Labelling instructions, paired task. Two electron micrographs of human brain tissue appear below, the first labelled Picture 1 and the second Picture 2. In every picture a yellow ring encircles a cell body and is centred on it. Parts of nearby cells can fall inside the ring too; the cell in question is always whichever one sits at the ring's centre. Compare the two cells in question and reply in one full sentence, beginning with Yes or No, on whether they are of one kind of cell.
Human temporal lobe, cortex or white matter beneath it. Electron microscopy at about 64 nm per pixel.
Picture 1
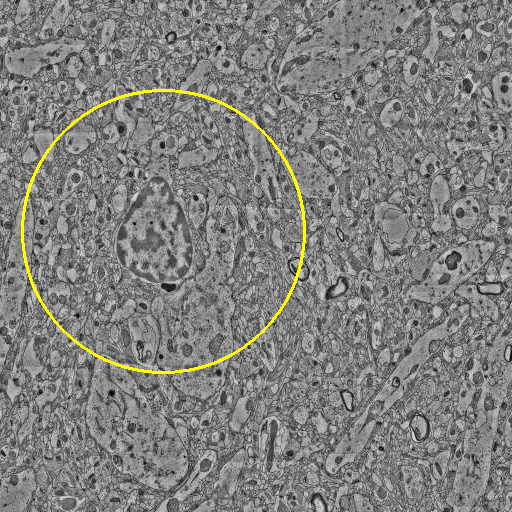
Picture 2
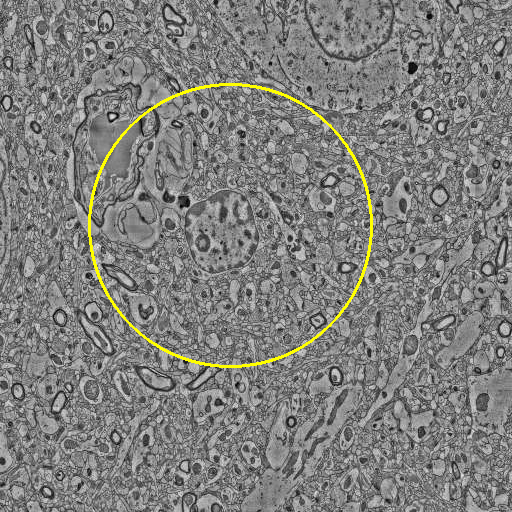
Yes, the two cells at the ring centres in Picture 1 and Picture 2 are of one kind.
